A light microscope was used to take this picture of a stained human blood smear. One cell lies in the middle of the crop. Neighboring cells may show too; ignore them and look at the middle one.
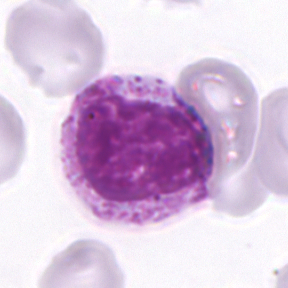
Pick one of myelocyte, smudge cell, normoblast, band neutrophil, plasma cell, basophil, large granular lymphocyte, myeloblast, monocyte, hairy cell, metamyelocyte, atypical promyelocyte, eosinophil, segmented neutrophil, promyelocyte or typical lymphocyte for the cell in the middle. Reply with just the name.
myelocyte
